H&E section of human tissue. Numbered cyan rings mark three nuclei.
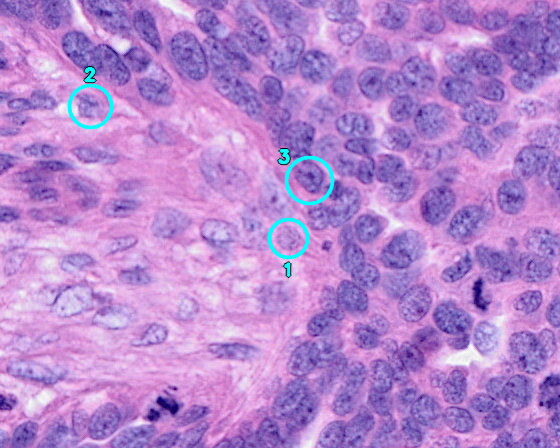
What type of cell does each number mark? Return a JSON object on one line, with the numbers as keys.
{"1": "fibroblast", "2": "fibroblast", "3": "carcinoma cell"}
